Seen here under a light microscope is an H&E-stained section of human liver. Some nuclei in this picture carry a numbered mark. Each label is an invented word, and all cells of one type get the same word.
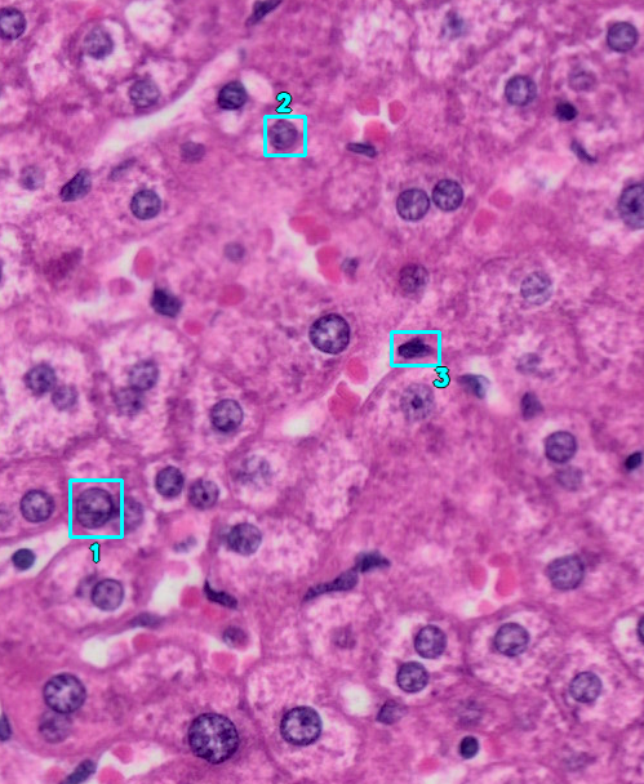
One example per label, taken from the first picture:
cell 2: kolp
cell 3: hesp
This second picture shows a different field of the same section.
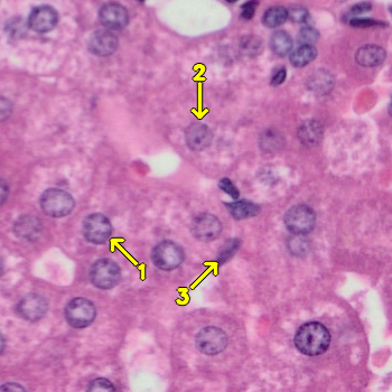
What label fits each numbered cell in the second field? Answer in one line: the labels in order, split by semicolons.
kolp; kolp; hesp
